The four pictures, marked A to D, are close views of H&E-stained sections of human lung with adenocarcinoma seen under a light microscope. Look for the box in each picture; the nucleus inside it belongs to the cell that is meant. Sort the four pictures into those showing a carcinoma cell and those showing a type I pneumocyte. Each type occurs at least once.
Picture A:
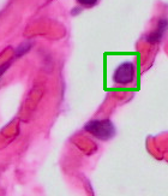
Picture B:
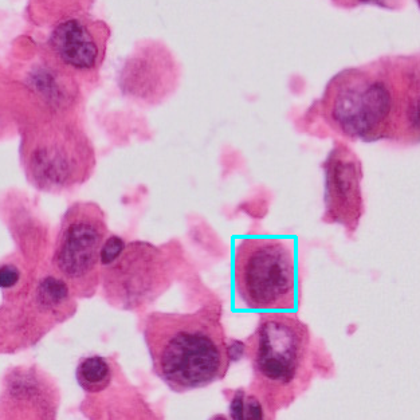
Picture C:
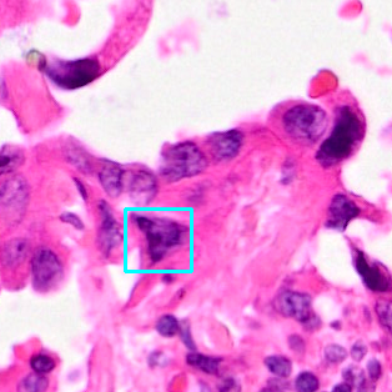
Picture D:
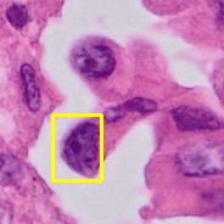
A: type I pneumocyte
B: carcinoma cell
C: carcinoma cell
D: carcinoma cell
